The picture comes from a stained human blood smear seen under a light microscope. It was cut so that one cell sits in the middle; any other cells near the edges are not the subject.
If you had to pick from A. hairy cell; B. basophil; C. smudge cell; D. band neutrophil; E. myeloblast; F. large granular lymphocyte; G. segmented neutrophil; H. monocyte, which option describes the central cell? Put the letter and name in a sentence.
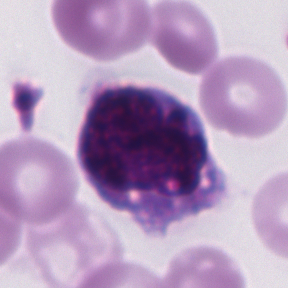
Option H is the correct one; it names the central cell as a monocyte.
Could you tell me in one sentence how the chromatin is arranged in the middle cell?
If you check the nucleus, you will find the chromatin coarsely clumped.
